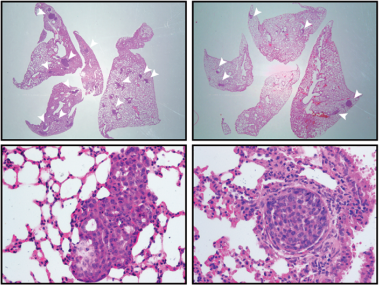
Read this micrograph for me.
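These are sections of lung with metastatic tumour deposits. In the upper low-power views, whole lung lobes show a pale pink, lacy tissue, and scattered within it are small, dense, darker purple nodules. In the lower higher-power views, the normal lung forms a delicate network of thin walls around empty air spaces. In one of these views, a compact mass of crowded, purple-nucleated tumour cells sits in the middle of this network and pushes into the surrounding air spaces. In the other view, a rounded cluster of tumour cells lies within a vessel-like space bounded by a thin wall.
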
